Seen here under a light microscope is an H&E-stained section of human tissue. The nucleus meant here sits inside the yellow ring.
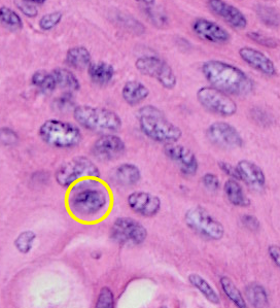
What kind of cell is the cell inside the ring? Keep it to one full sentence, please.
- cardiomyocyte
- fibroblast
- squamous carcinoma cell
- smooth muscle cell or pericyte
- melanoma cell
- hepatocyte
As for its identity, the cell inside the ring is a squamous carcinoma cell.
